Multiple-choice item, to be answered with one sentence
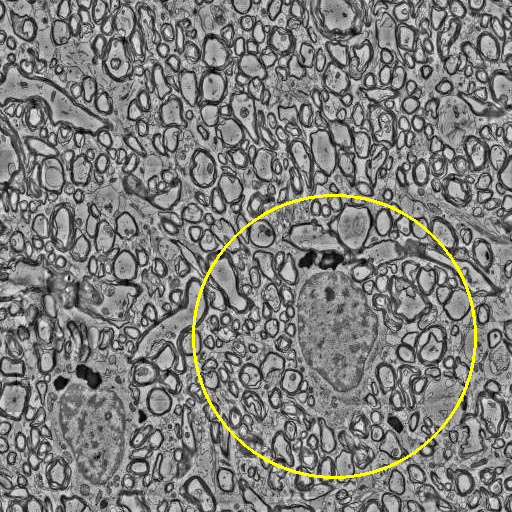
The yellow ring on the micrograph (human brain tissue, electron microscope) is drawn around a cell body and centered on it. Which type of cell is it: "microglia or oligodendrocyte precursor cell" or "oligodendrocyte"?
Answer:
The ring is centered on an oligodendrocyte.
